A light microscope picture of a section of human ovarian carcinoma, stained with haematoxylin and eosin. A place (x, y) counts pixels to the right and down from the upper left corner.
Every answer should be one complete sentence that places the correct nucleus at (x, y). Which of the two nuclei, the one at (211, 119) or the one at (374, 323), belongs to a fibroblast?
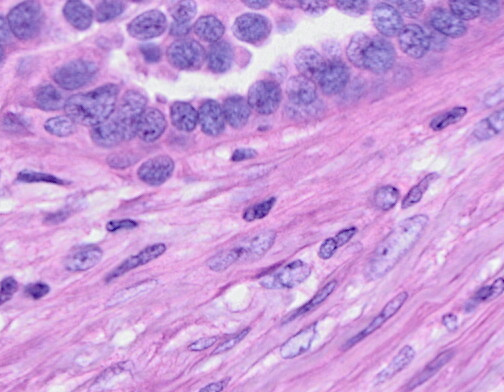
Of the two nuclei, the one at (374, 323) belongs to a fibroblast.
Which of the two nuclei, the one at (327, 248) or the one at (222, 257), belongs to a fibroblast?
The nucleus of a fibroblast lies at (222, 257), not at the other position.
